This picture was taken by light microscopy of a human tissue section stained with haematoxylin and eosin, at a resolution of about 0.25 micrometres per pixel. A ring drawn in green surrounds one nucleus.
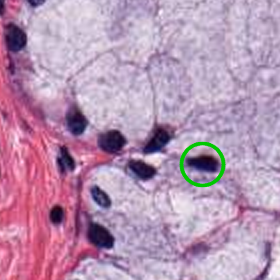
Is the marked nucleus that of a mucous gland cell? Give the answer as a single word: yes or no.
yes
